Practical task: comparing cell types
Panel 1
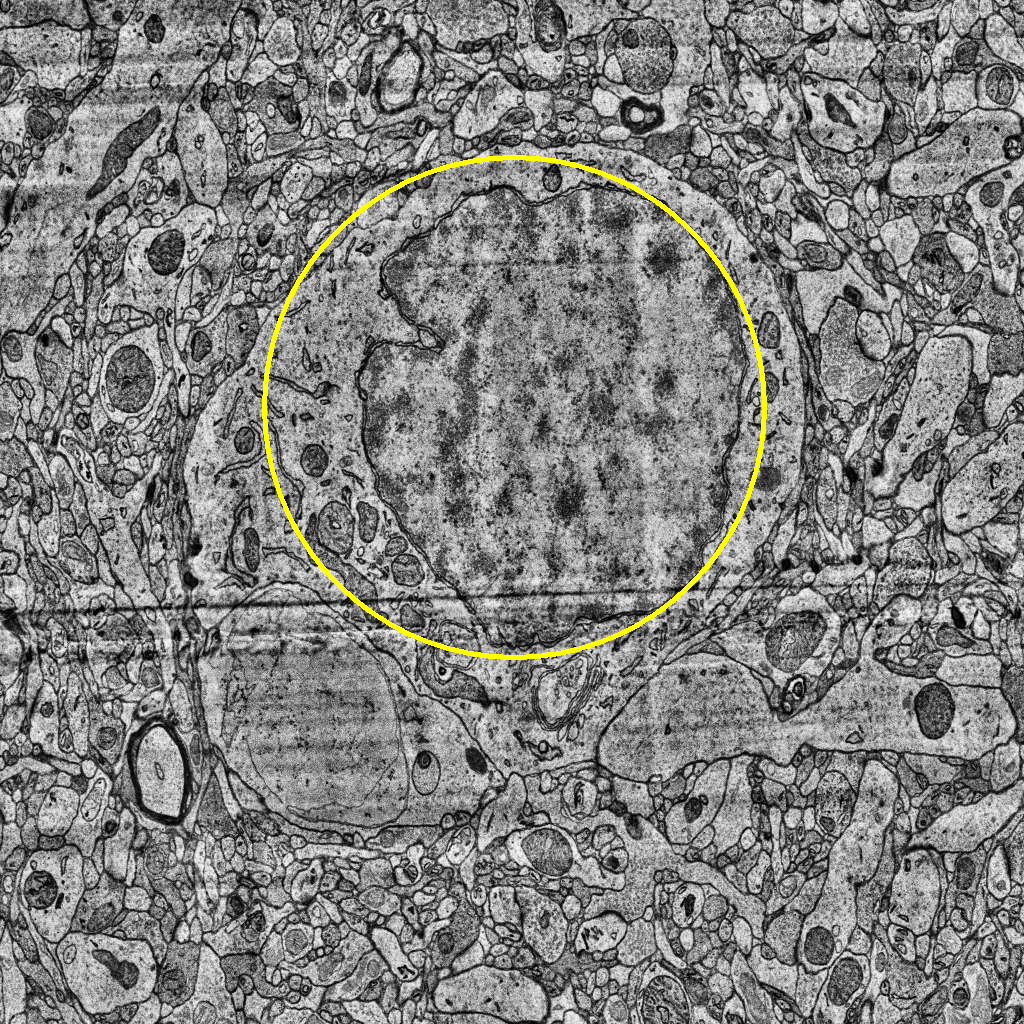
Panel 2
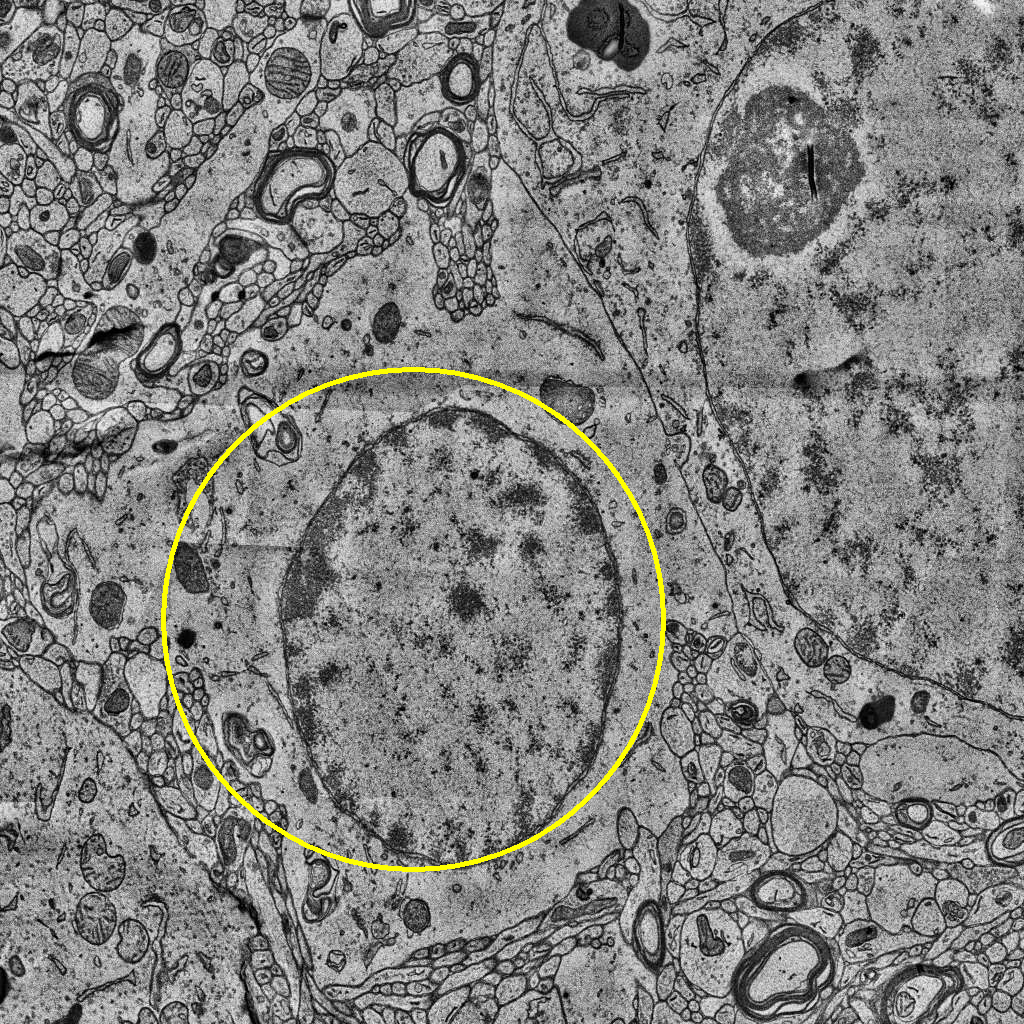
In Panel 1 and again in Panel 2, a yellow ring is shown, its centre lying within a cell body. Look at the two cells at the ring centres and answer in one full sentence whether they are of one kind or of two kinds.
The two cells sitting at the ring centres of Panels 1 and 2 are of two kinds.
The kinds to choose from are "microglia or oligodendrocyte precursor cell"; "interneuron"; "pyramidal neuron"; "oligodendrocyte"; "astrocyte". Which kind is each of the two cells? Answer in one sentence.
The cell in the first picture is an interneuron; the second picture's cell is an astrocyte.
